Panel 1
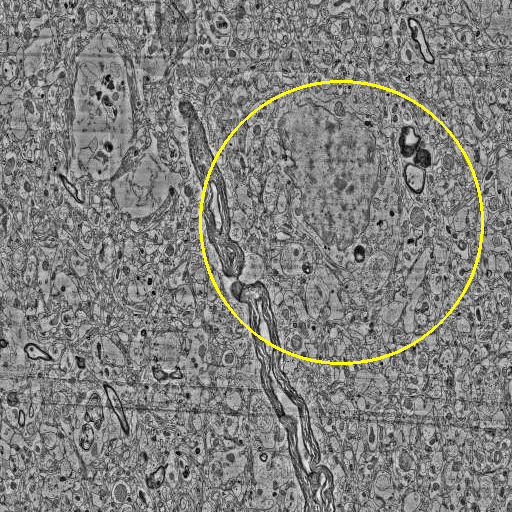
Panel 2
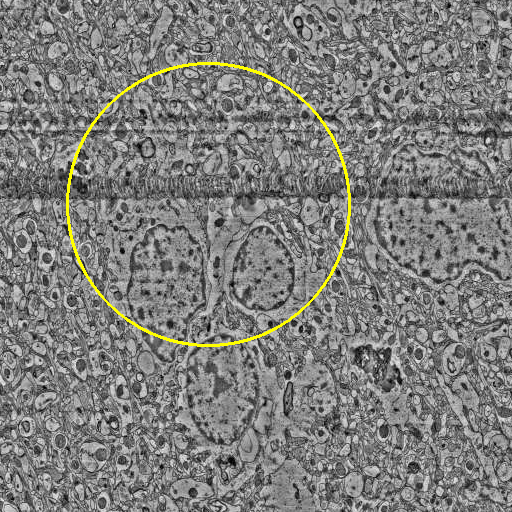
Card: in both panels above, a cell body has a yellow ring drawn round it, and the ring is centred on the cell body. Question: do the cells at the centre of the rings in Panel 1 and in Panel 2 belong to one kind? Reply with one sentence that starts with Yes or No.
Yes, the cells centred in the rings of Panel 1 and Panel 2 are one kind of cell.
